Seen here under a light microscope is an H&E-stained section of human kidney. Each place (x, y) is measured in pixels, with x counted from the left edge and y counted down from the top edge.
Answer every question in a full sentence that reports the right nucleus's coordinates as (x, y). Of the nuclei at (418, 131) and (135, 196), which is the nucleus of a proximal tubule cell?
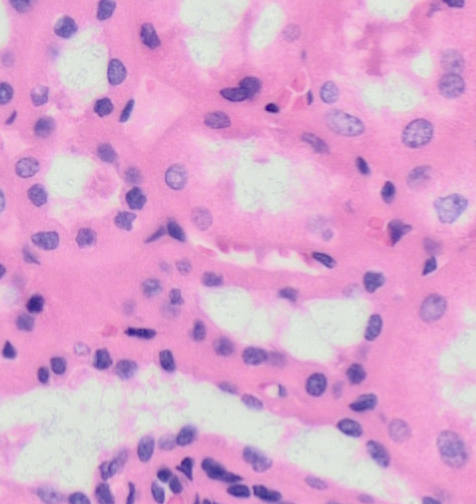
The nucleus lying at (418, 131) is the nucleus of a proximal tubule cell.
